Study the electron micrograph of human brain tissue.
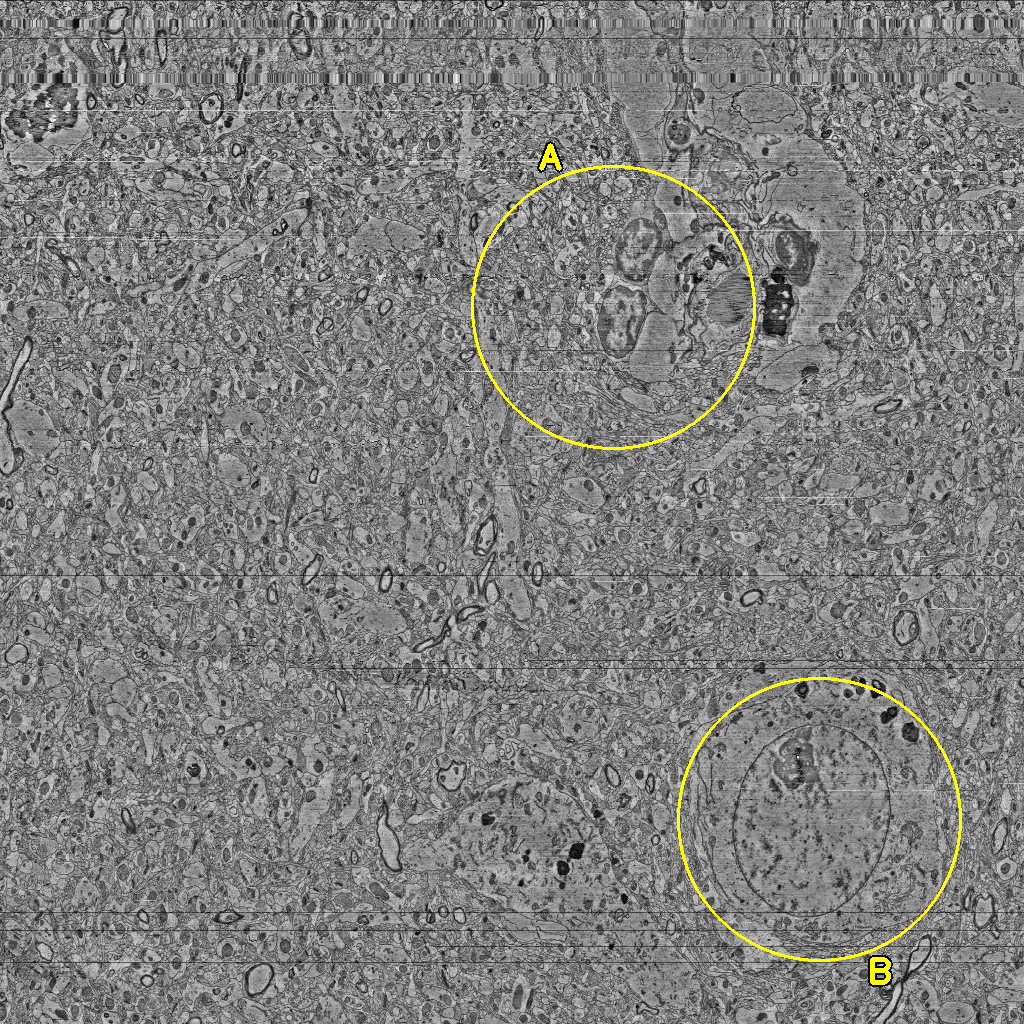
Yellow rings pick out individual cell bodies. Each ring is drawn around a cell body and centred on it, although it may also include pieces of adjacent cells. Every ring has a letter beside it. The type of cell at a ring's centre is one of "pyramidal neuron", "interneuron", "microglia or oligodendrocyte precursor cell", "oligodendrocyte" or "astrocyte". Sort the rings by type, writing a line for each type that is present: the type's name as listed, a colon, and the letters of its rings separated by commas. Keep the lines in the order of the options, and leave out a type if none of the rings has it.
pyramidal neuron: B
microglia or oligodendrocyte precursor cell: A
